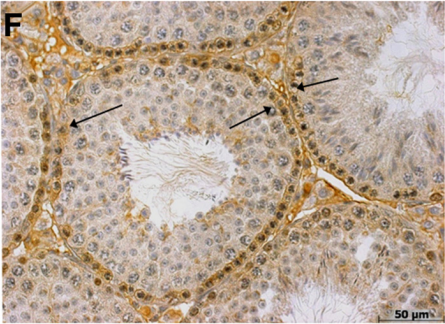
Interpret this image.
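This section of testis shows seminiferous tubules cut across, each with a stratified seminiferous epithelium surrounding a central lumen filled with pale, thread-like sperm tails. Round germ cells with round nuclei fill the epithelium, and elongated sperm heads lie toward the lumen. A brown-stained band runs along the base of the epithelium, with the most intense brown in the cells closest to the tubule wall, while the inner layers are lightly brown.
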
